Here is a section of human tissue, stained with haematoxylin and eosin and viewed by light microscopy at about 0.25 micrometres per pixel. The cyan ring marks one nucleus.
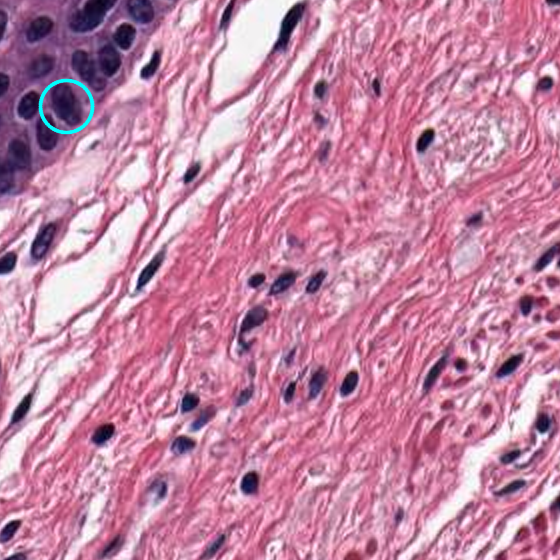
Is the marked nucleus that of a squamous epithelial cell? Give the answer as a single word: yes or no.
yes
